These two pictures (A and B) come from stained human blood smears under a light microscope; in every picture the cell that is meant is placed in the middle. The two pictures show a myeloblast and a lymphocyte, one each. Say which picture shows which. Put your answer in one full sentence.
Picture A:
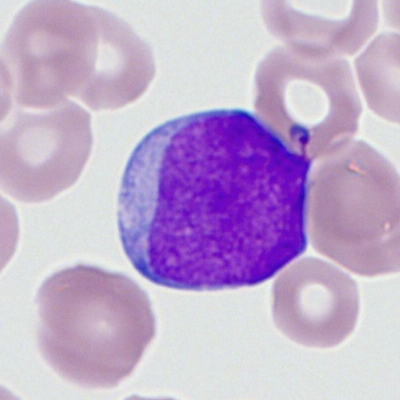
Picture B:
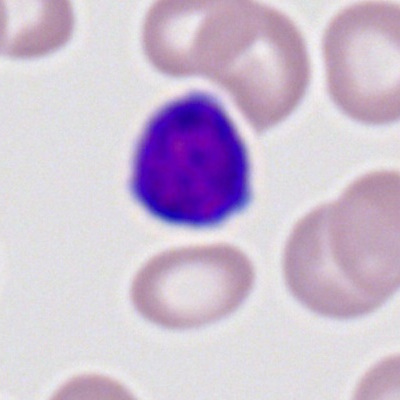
Picture A is of a myeloblast, and picture B is of a lymphocyte.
